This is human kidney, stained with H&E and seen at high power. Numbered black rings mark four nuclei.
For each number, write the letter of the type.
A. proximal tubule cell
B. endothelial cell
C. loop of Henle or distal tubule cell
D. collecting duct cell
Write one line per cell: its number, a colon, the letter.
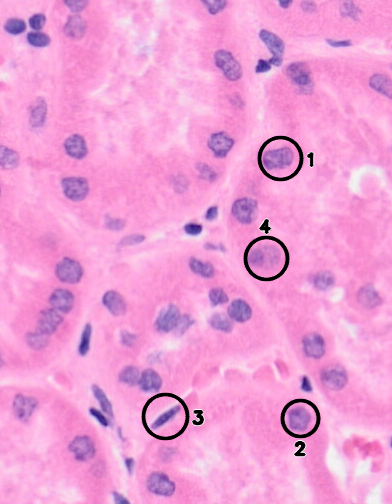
1: A
2: A
3: B
4: A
